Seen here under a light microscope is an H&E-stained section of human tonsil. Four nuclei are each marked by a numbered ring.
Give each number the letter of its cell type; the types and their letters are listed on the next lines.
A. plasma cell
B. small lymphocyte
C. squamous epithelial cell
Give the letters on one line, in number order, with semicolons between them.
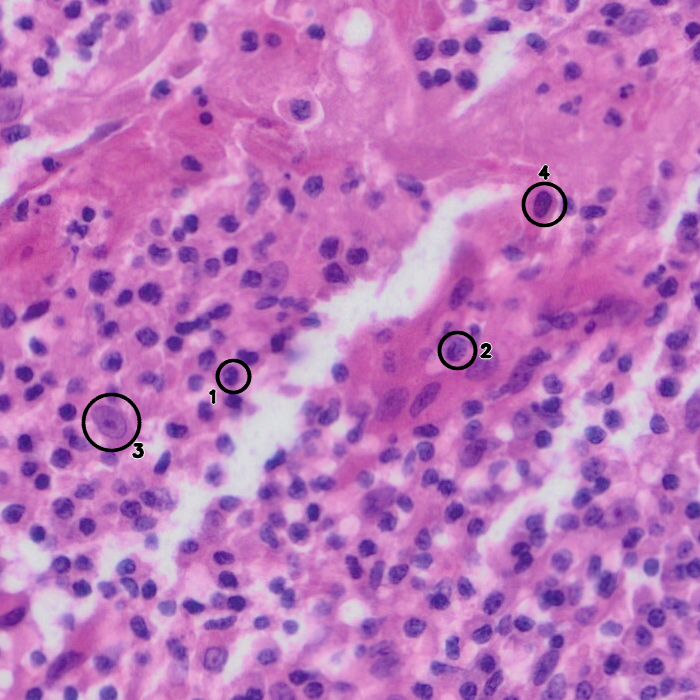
A; C; C; C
